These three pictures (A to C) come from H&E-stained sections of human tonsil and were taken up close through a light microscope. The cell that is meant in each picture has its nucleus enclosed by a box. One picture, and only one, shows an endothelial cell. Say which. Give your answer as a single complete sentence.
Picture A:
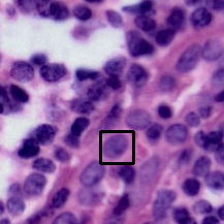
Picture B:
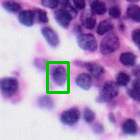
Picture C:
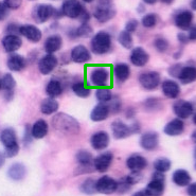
The endothelial cell is the one in picture A.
